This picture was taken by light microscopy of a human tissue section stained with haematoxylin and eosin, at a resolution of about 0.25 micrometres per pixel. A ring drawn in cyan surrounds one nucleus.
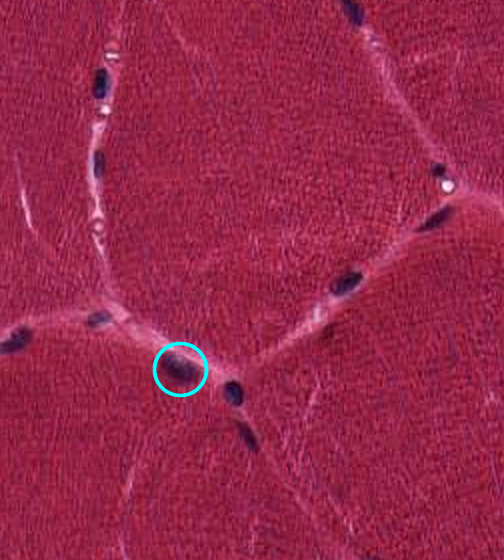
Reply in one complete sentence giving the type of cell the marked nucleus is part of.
The marked nucleus is a nucleus of a skeletal muscle fibre.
